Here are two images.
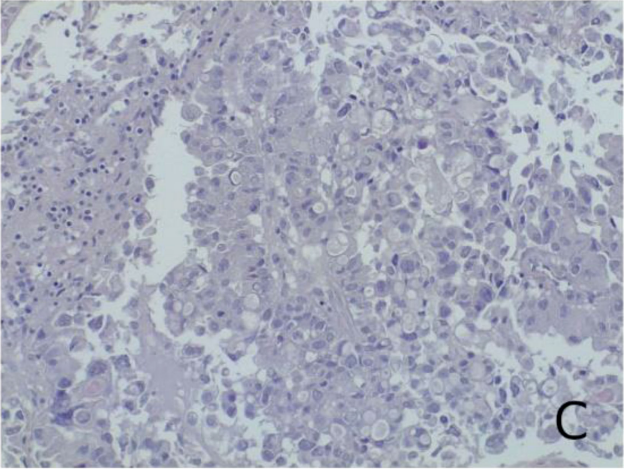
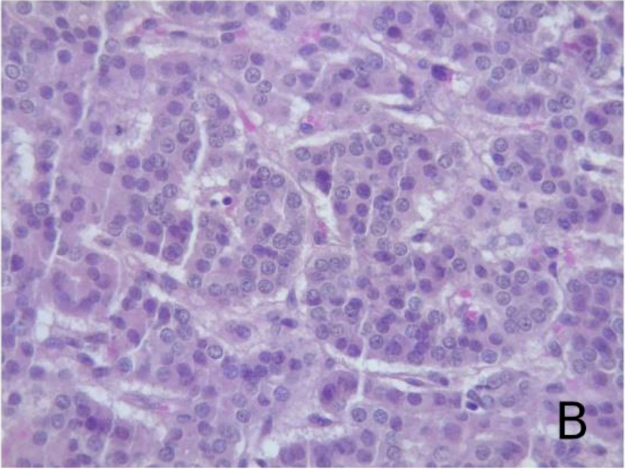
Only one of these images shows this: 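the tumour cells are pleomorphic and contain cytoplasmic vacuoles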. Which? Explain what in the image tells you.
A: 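First image: cells with clear round cytoplasmic vacuoles and nuclei of varying size and shape. Second image: cells with fairly uniform round nuclei and pink, non-vacuolated cytoplasm.
Hence: the first image.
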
